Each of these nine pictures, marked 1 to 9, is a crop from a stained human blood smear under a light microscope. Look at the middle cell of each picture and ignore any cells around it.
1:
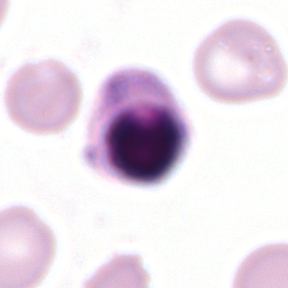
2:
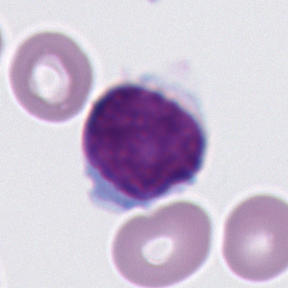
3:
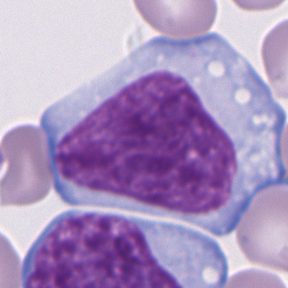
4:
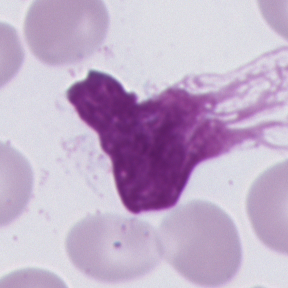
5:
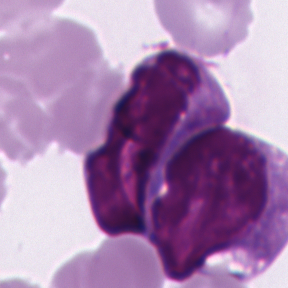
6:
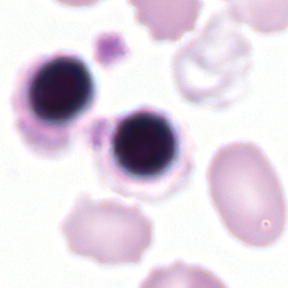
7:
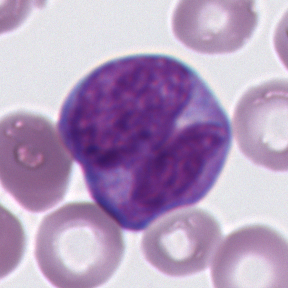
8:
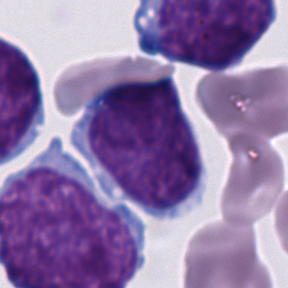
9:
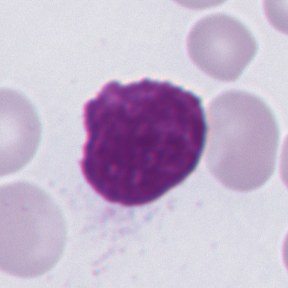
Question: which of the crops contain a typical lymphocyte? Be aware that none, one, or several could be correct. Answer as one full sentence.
Found in crop 2 and nowhere else in the set is a typical lymphocyte.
